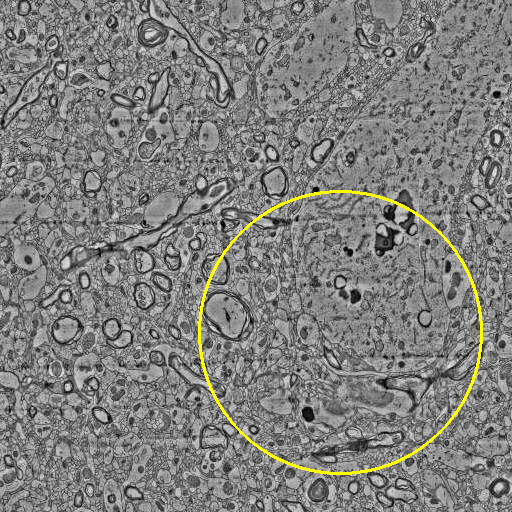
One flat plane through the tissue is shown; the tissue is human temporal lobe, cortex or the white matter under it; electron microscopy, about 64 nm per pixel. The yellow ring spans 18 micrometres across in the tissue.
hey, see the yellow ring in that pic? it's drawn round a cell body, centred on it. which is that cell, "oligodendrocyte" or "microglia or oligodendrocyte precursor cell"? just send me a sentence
The cell in the ring is a microglial cell or oligodendrocyte precursor cell.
